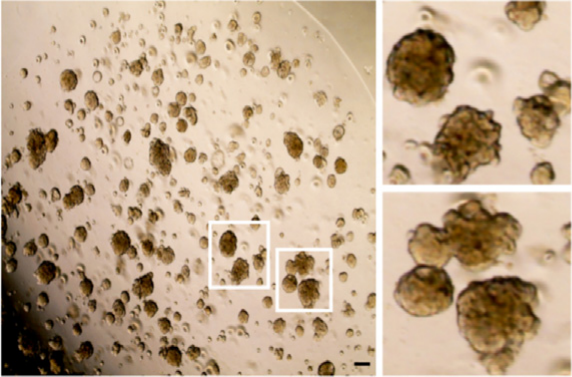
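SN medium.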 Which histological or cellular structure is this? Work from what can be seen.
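Organoids. Many separate rounded three-dimensional multicellular bodies lie scattered through a clear gel. They vary widely in size, with smaller spheres among larger lobed ones.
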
